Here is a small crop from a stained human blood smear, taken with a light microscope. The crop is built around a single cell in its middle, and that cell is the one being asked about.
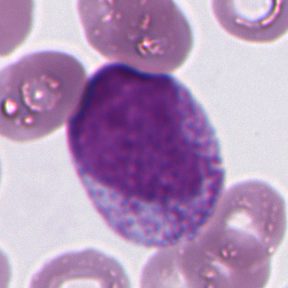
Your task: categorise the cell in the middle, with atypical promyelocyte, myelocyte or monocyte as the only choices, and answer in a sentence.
The cell the crop is centered on is a myelocyte.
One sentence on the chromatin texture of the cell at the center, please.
In this cell the chromatin is fine rather than coarsely clumped.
